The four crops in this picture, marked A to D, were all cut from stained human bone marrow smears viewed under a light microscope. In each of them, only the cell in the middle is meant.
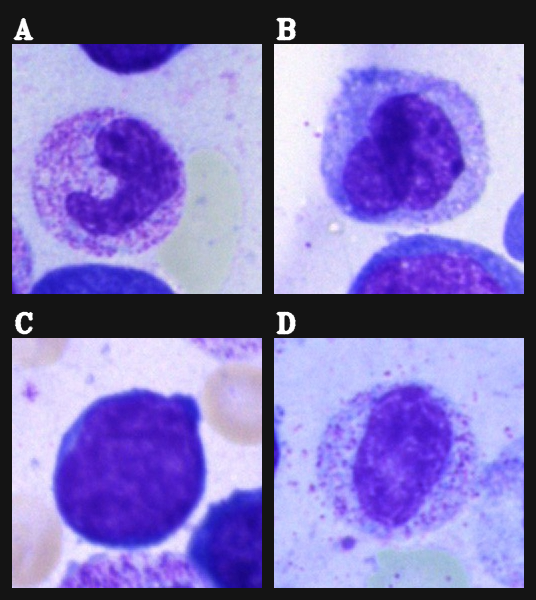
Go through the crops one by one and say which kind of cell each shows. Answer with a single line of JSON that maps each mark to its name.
{"A": "band neutrophil", "B": "monocyte", "C": "proerythroblast", "D": "myelocyte"}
